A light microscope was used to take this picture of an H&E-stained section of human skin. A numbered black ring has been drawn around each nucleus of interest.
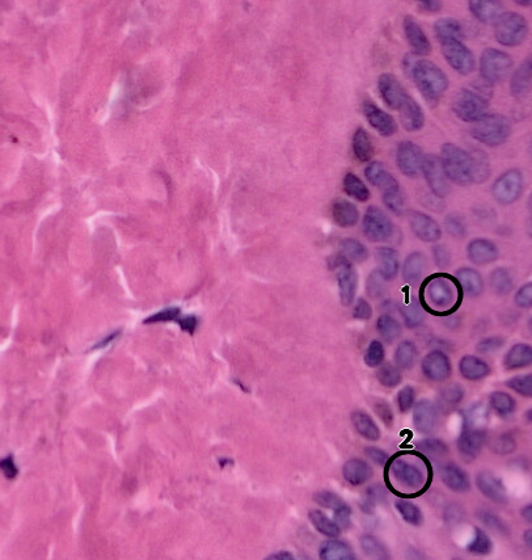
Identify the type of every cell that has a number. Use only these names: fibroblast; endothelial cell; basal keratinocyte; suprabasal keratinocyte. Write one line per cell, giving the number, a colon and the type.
1: suprabasal keratinocyte
2: basal keratinocyte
